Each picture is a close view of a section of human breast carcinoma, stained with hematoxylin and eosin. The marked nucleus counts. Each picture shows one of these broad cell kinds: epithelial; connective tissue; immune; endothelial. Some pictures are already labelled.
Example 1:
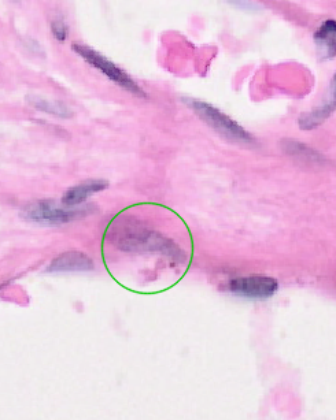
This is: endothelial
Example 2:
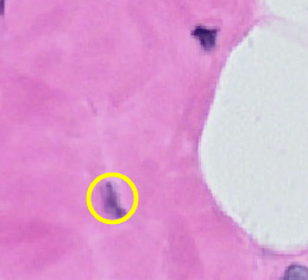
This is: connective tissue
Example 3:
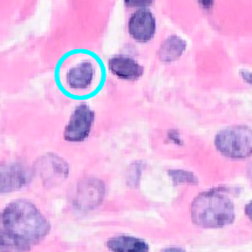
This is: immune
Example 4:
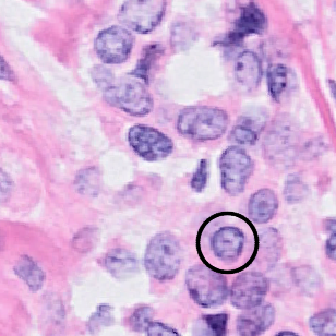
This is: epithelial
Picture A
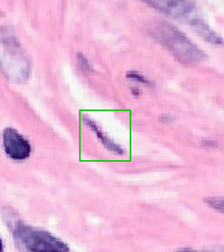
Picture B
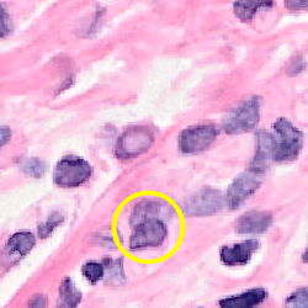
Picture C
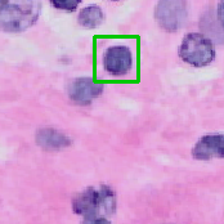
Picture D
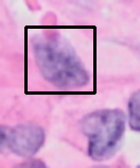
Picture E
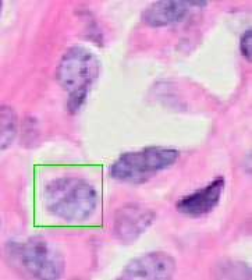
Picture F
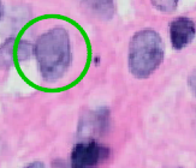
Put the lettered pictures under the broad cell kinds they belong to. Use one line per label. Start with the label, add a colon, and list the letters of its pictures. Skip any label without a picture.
epithelial: B, E, F
connective tissue: A
immune: C
endothelial: D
